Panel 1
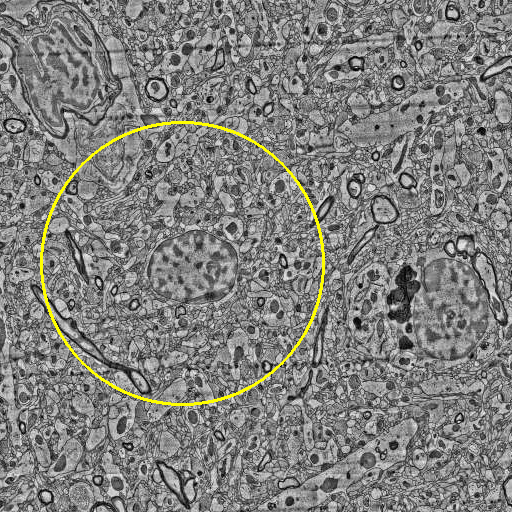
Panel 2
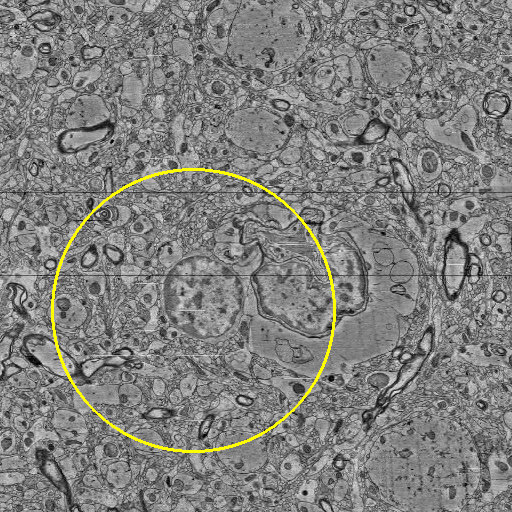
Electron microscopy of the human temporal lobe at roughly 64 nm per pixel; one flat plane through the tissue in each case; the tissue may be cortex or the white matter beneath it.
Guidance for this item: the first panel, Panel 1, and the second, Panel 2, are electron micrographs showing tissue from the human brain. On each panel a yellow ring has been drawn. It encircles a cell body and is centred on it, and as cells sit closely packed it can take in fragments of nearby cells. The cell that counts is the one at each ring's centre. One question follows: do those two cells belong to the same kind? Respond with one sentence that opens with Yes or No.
No, the cells at the ring centres in Panel 1 and Panel 2 are of two kinds.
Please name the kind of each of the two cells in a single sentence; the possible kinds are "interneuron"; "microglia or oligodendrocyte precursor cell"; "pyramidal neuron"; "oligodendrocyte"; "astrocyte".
In the first picture the ring is centred on a microglial cell or oligodendrocyte precursor cell, and in the second on an oligodendrocyte.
